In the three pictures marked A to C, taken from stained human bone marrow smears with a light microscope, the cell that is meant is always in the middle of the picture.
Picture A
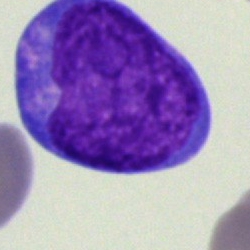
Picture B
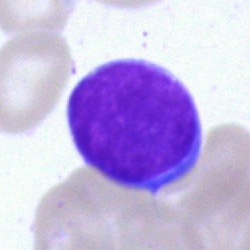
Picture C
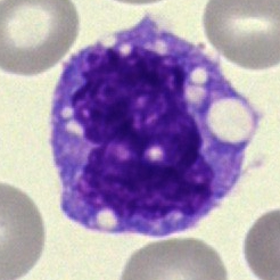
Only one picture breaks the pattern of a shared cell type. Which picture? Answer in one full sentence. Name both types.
Picture C is the odd one out: it shows a monocyte, while the others show blasts.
